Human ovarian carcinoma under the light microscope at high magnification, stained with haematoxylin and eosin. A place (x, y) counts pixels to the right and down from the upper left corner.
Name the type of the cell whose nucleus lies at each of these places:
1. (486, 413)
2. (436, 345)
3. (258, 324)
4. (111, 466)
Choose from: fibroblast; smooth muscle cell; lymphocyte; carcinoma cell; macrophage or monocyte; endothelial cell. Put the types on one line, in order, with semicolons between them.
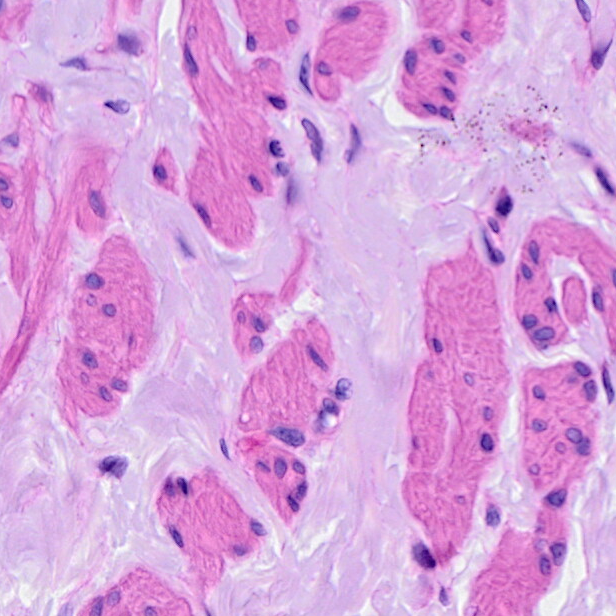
smooth muscle cell; smooth muscle cell; smooth muscle cell; fibroblast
